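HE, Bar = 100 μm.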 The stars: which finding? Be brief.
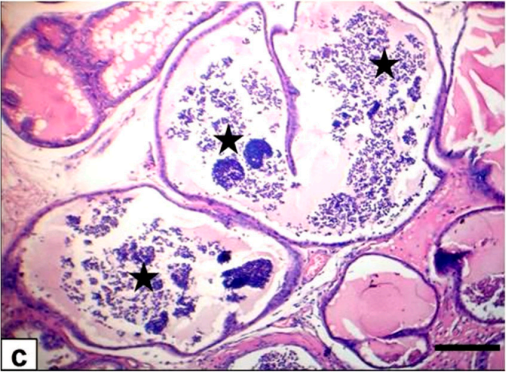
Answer: desquamation of glandular epithelium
